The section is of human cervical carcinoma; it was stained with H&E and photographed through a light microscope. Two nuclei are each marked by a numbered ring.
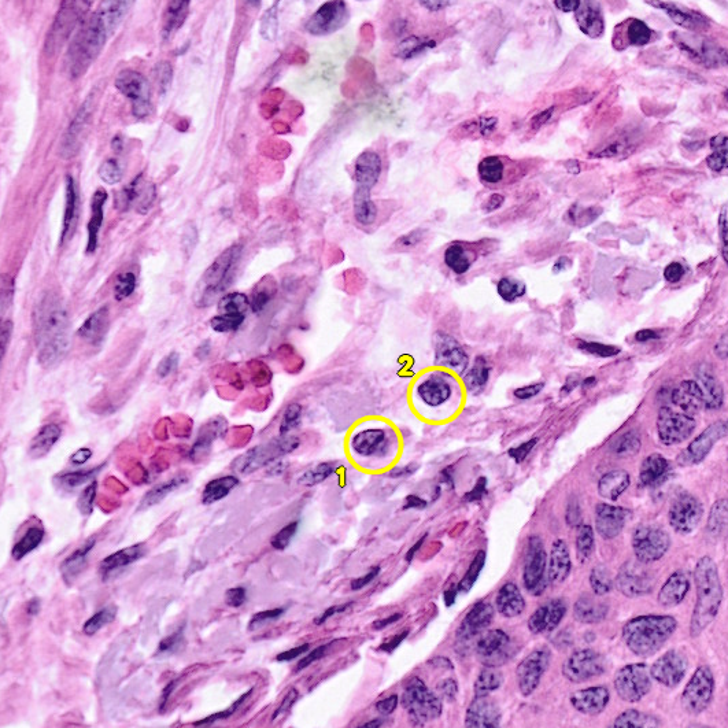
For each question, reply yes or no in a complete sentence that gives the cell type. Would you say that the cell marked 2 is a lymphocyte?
Yes, the cell with its nucleus marked 2 is a lymphocyte.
